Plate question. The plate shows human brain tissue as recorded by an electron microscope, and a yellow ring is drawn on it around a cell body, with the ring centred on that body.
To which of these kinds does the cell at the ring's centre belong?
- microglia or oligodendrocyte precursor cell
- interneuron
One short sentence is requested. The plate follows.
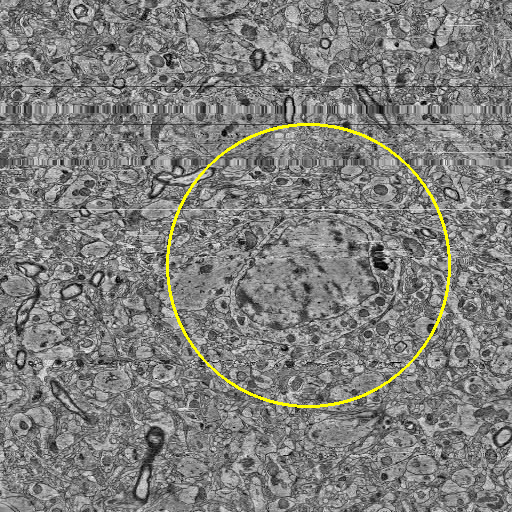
The cell at the ring's centre is an interneuron.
